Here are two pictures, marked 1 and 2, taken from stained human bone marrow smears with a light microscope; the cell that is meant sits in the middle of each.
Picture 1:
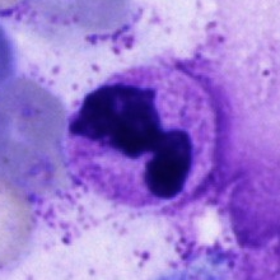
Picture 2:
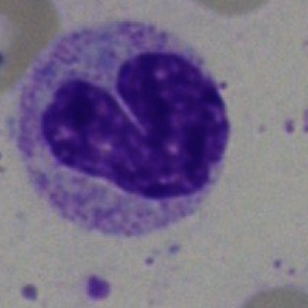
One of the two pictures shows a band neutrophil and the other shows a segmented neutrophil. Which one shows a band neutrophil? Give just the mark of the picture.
2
